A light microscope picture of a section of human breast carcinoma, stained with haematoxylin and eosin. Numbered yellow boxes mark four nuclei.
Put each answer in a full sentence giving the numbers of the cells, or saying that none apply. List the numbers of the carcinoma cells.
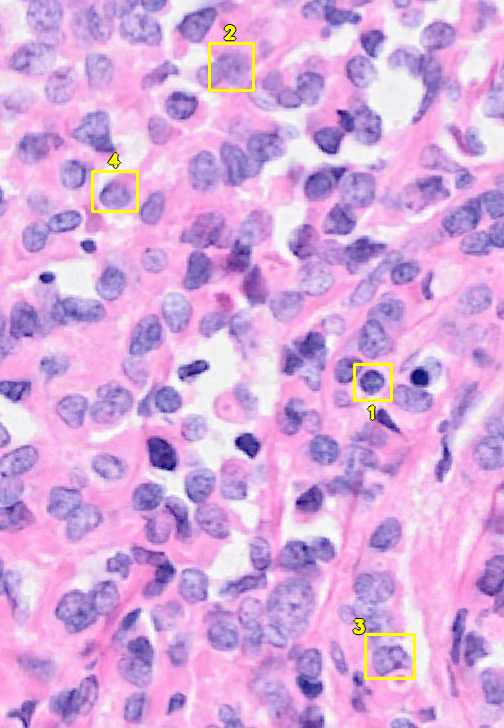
The cells numbered 2, 3 and 4 are, by type, carcinoma cells.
